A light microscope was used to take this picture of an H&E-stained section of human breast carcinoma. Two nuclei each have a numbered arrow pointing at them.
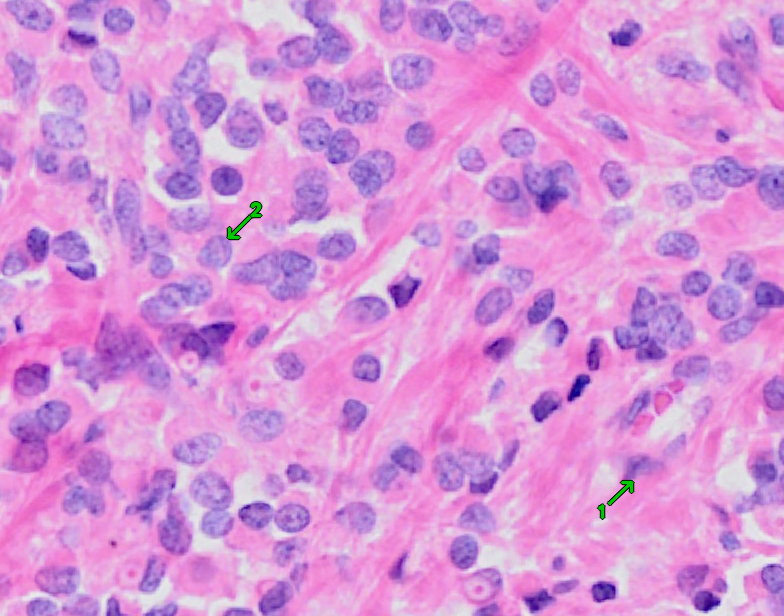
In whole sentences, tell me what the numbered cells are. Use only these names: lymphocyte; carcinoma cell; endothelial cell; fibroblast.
Cell 1 is an endothelial cell and cell 2 is a carcinoma cell.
